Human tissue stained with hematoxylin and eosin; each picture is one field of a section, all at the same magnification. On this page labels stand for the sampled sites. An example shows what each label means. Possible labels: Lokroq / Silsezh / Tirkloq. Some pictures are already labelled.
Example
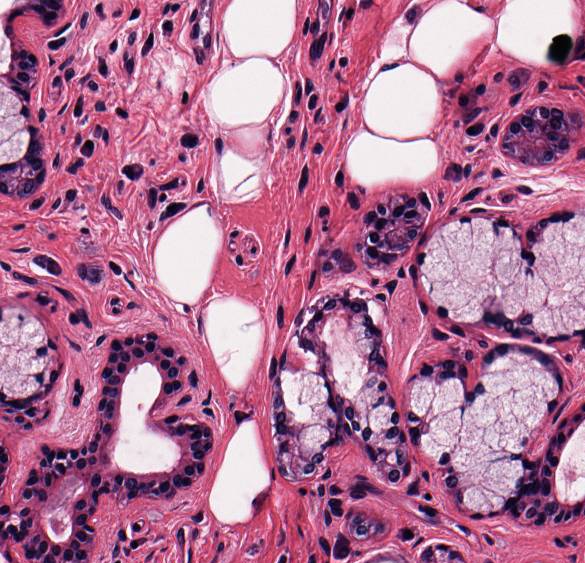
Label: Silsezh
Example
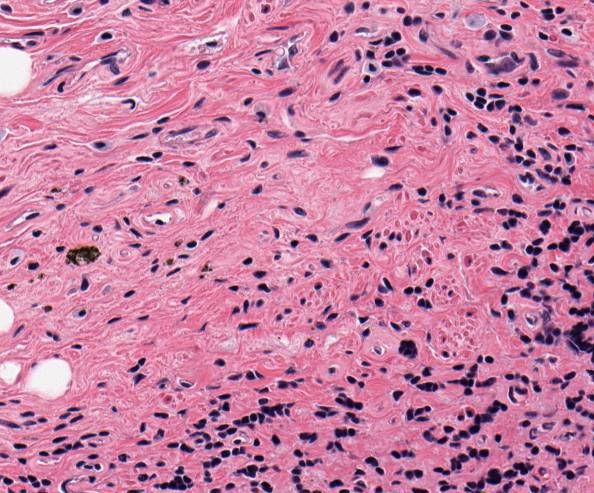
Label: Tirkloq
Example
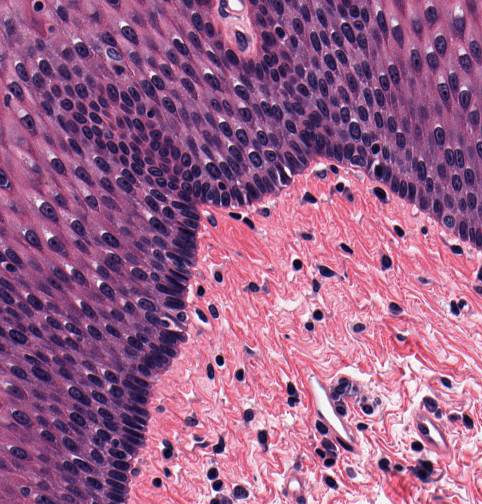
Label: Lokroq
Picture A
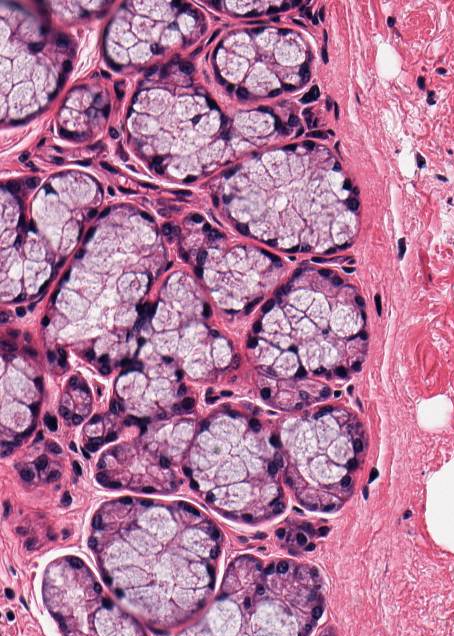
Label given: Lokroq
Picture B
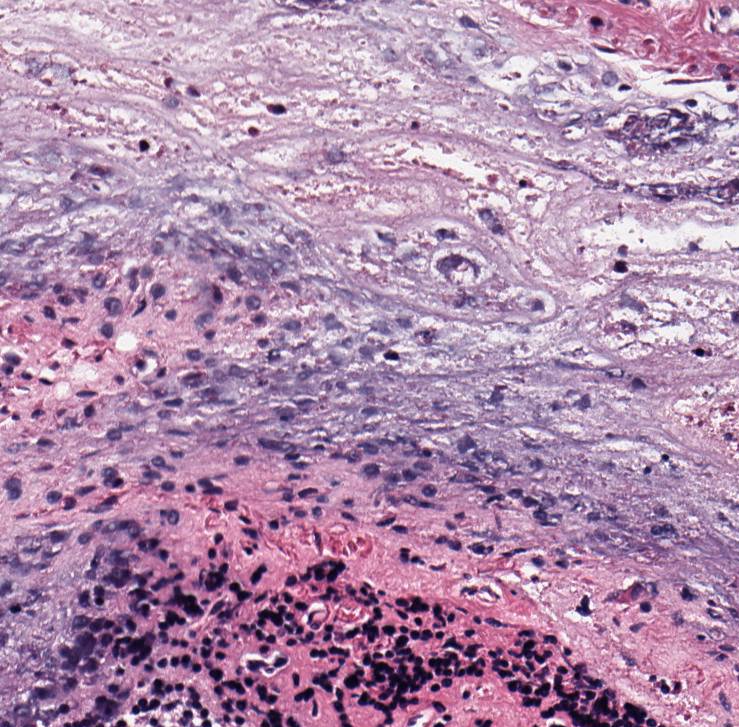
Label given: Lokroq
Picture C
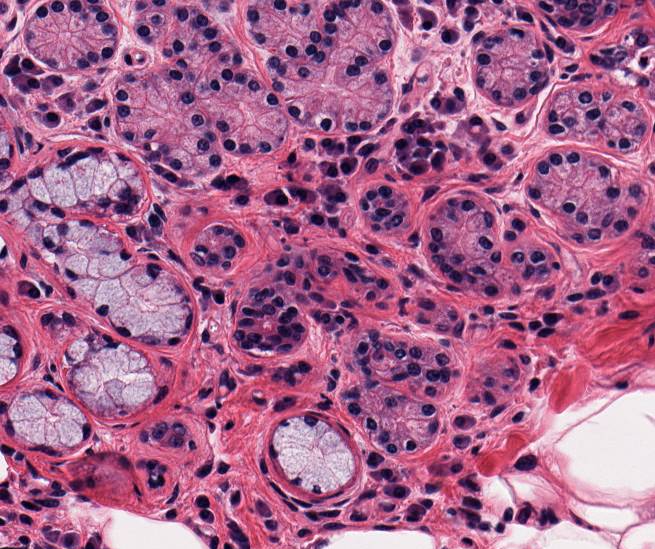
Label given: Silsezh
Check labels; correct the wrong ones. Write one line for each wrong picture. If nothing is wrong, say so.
A: Silsezh, not Lokroq
B: Tirkloq, not Lokroq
